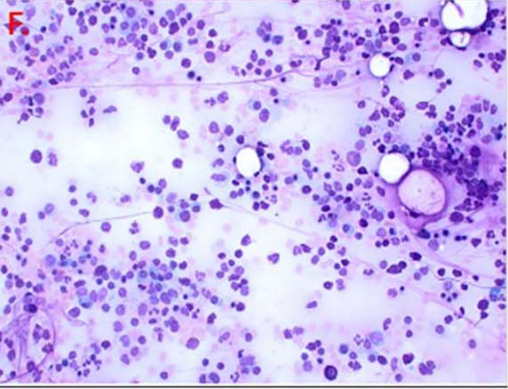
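This is a bone marrow aspirate smear showing a mixed population of marrow cells, including plasma cells and mature lymphocytes. Many cells are small and round, with dense, dark purple nuclei and only a thin rim of cytoplasm, in keeping with mature lymphocytes. Scattered among them are cells with more abundant bluish cytoplasm and a nucleus pushed to one side, the look of plasma cells. A few round clear vacuoles representing fat droplets lie in the field, and a denser cluster of cells sits near a large rounded body on the right. Fine thread-like strands cross the pale background between the cells.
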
